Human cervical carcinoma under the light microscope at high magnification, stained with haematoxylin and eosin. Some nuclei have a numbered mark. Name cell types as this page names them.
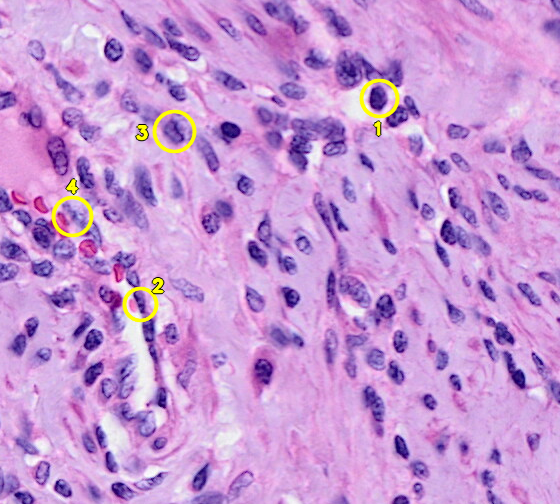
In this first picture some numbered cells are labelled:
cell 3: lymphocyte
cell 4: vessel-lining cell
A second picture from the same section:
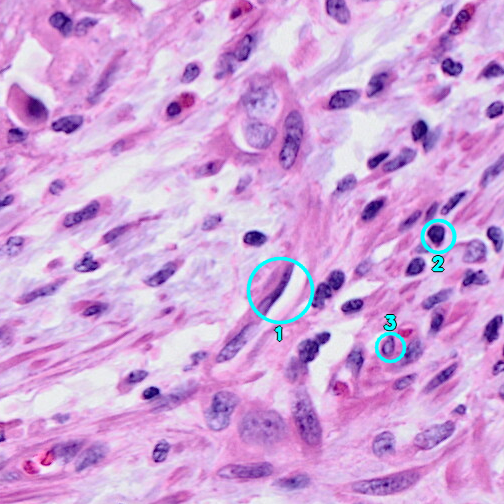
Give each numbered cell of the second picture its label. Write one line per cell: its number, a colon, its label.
1: vessel-lining cell
2: lymphocyte
3: vessel-lining cell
